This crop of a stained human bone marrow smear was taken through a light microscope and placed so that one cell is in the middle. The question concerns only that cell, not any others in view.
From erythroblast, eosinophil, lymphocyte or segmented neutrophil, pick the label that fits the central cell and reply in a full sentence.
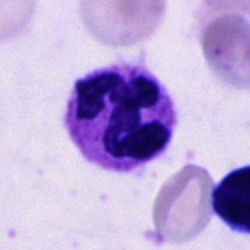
The cell under consideration, at the middle of the crop, is a segmented neutrophil.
